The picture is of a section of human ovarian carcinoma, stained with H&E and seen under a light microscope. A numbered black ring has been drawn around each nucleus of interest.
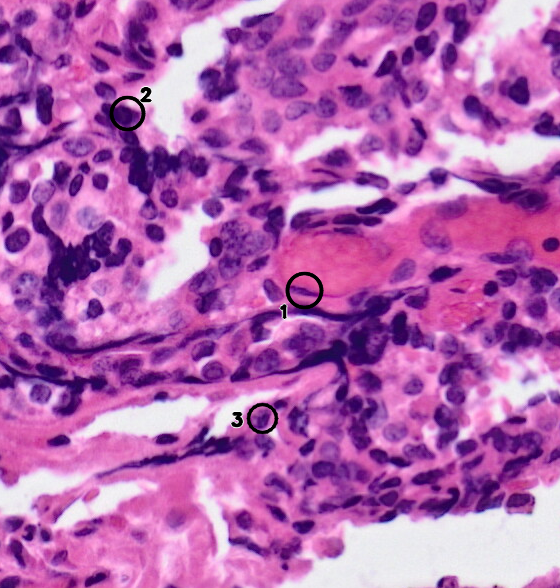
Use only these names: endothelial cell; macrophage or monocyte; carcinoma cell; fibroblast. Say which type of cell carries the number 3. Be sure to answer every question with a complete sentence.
Cell 3 should be recorded as a macrophage or monocyte.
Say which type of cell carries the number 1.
Cell 1 in the field of view is an endothelial cell.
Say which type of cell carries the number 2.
Recognised here as a carcinoma cell is the cell numbered 2.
